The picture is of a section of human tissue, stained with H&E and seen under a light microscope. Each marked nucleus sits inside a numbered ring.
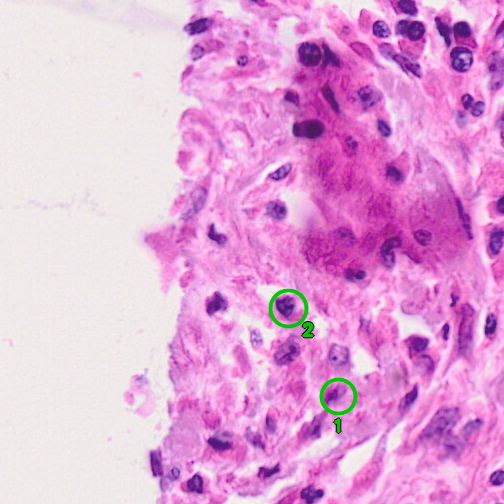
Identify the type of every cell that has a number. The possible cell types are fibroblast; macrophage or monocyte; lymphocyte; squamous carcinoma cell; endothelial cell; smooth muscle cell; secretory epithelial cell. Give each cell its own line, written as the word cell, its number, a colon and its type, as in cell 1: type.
cell 1: fibroblast
cell 2: lymphocyte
